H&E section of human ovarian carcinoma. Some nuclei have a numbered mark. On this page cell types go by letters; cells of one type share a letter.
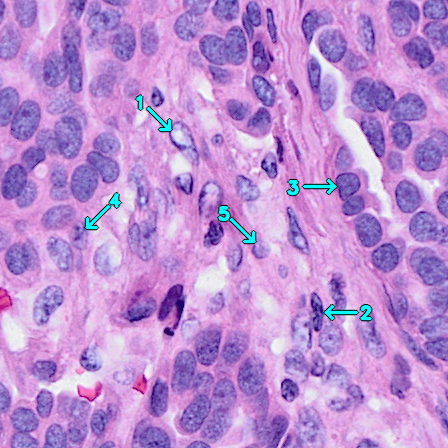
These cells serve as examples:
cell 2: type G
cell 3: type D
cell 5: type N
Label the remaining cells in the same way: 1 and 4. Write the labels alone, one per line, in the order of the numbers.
type N
type N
